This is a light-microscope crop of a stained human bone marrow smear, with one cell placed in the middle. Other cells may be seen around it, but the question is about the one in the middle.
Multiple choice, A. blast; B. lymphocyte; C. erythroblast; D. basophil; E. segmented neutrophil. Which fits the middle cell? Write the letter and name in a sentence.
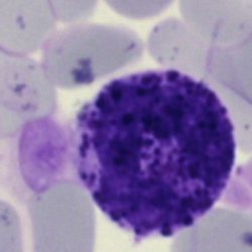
The cell placed in the middle is a basophil; option D is correct.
